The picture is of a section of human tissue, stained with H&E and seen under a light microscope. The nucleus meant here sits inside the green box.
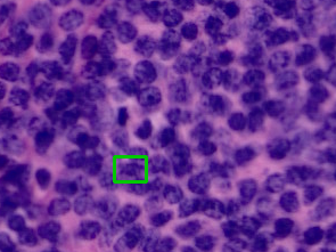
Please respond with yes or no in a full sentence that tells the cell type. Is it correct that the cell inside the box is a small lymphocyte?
Yes, the cell inside the box is correctly named as a small lymphocyte.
